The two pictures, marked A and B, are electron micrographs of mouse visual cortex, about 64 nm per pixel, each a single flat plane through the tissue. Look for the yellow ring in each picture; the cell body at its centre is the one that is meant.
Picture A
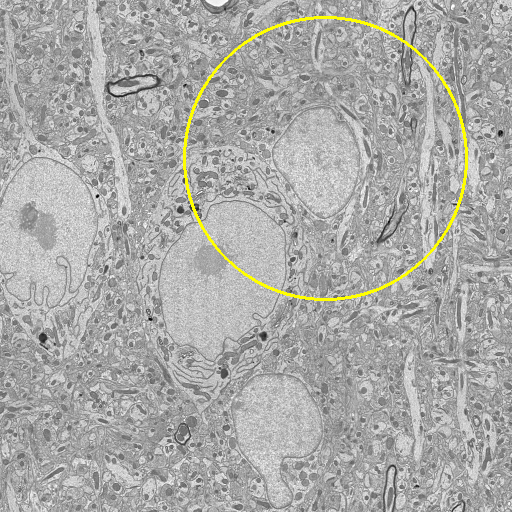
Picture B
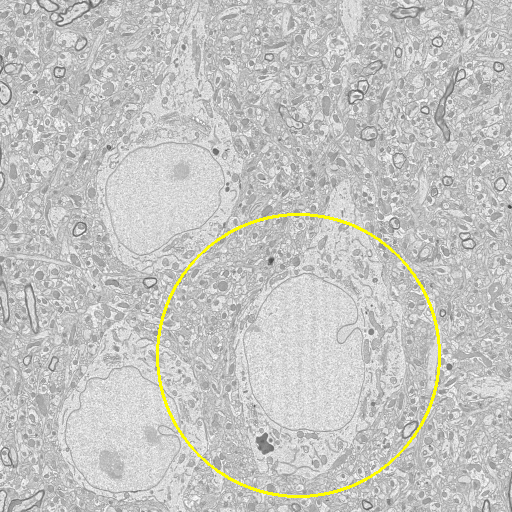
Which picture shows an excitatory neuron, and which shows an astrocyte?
It is picture A that shows an astrocyte, and picture B that shows an excitatory neuron.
